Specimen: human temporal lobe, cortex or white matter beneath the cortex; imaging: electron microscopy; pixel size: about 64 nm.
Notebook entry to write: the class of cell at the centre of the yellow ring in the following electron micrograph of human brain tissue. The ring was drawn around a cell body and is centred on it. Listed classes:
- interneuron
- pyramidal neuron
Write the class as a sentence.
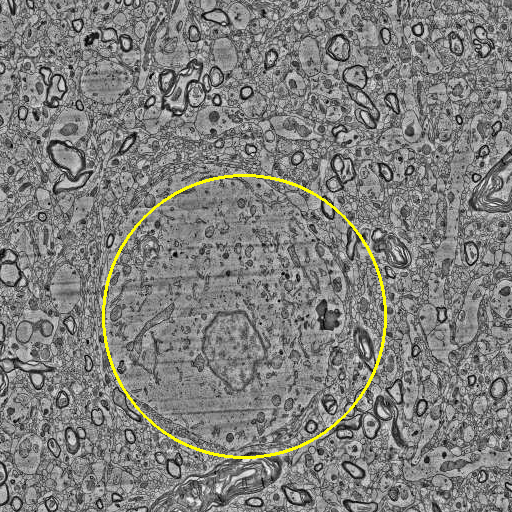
The yellow ring sits on a pyramidal neuron.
